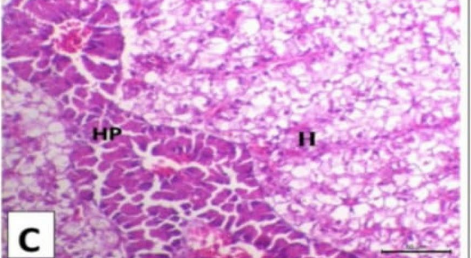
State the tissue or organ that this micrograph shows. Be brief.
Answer: Hepatopancreas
